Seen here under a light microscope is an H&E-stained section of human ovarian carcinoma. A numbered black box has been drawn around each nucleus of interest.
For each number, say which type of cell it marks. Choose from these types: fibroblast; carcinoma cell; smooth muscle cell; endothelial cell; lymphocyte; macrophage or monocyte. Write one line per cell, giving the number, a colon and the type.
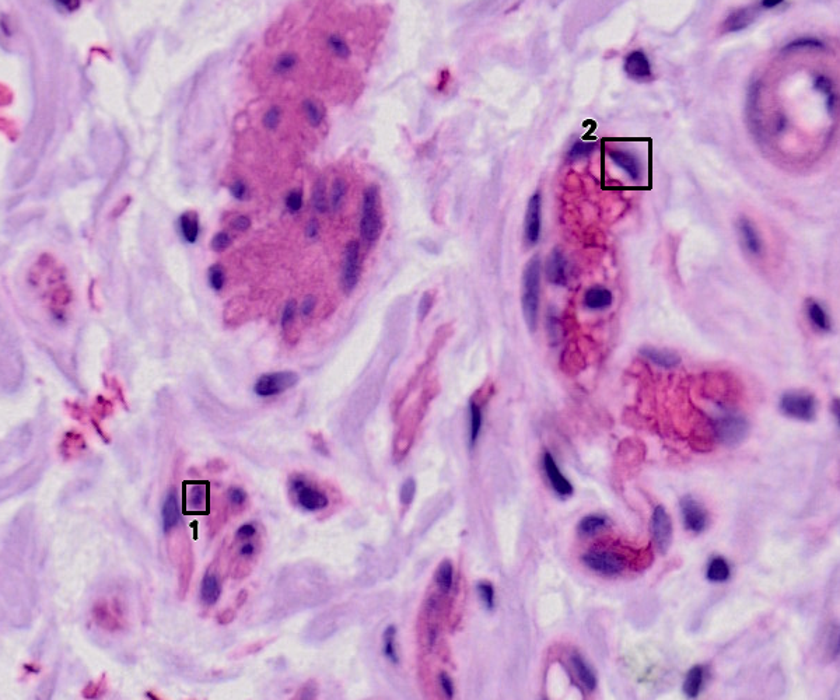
1: smooth muscle cell
2: endothelial cell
